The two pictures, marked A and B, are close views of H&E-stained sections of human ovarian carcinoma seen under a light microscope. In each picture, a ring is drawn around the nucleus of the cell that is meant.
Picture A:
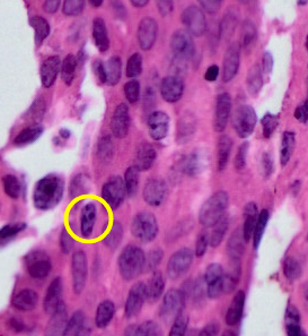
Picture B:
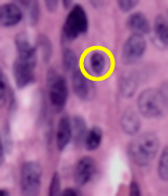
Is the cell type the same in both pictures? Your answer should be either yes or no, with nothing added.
yes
